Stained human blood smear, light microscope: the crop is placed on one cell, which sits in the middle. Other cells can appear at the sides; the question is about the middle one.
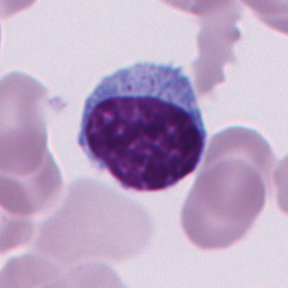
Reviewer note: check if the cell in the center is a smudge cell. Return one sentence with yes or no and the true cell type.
No, this is not a smudge cell at all; the cell in the middle is a typical lymphocyte.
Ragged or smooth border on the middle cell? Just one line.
The cytoplasmic margin is uneven, whether through ragged segments or through projections.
